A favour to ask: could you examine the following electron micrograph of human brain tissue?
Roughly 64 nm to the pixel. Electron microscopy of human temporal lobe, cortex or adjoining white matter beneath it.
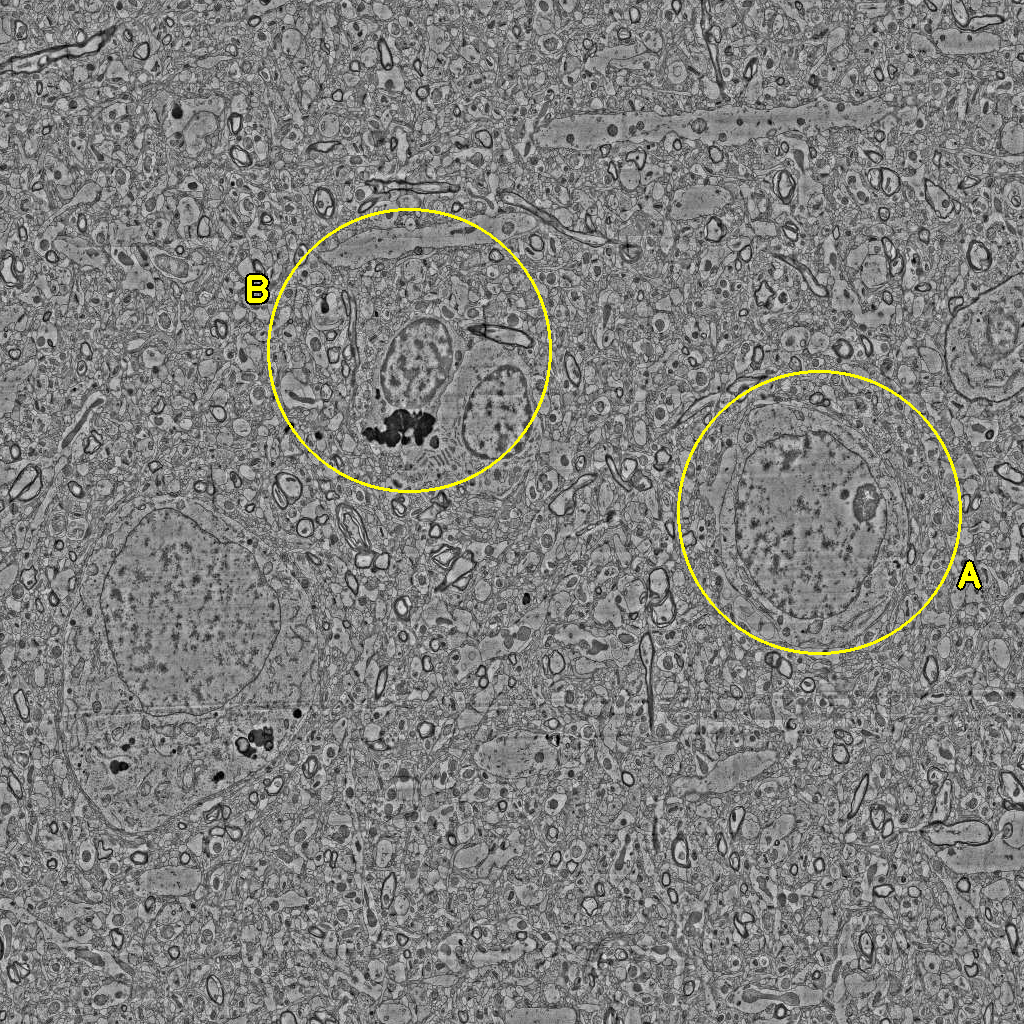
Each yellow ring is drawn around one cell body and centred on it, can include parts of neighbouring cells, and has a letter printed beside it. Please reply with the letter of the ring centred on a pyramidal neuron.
A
